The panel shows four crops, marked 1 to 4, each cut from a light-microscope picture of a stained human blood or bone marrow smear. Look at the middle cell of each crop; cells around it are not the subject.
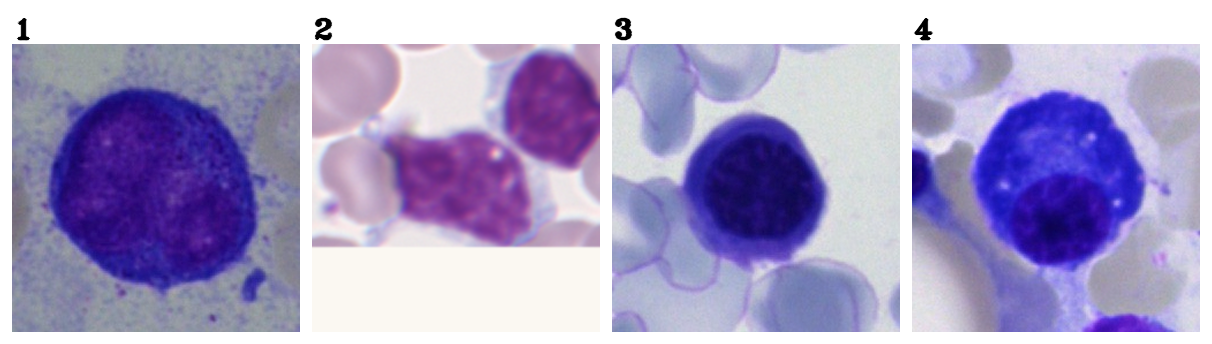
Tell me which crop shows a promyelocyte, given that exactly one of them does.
1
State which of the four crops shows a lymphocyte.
2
